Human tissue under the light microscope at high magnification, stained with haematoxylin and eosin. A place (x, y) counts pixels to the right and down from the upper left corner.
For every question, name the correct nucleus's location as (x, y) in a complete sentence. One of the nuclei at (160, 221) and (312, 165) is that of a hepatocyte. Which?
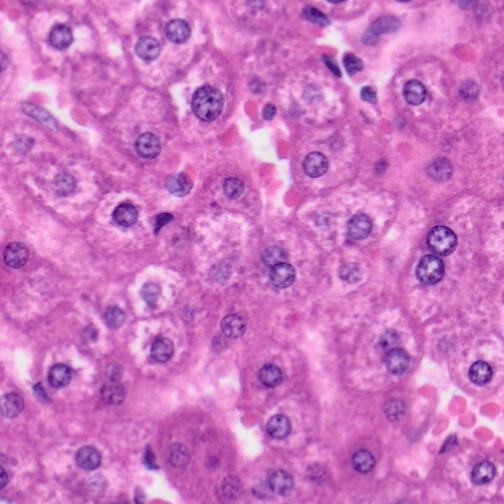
The nucleus at (312, 165) is assigned to a hepatocyte.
